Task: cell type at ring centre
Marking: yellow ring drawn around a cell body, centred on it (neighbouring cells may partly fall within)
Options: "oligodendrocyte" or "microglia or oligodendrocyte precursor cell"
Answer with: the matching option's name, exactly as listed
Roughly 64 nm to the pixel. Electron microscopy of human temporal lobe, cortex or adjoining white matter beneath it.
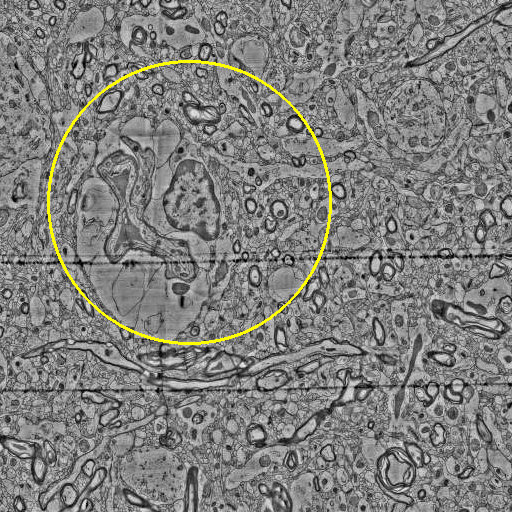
microglia or oligodendrocyte precursor cell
